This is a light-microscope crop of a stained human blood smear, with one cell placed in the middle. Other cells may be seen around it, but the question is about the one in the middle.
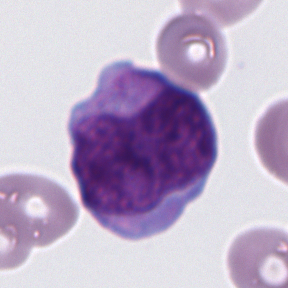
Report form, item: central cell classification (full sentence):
Framed in the middle of the crop is an atypical promyelocyte.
